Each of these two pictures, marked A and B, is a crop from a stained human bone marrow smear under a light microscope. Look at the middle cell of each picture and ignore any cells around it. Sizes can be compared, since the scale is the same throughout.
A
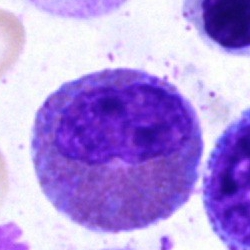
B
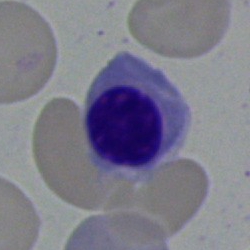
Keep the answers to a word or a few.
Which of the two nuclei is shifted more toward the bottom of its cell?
B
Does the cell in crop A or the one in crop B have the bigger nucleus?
A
